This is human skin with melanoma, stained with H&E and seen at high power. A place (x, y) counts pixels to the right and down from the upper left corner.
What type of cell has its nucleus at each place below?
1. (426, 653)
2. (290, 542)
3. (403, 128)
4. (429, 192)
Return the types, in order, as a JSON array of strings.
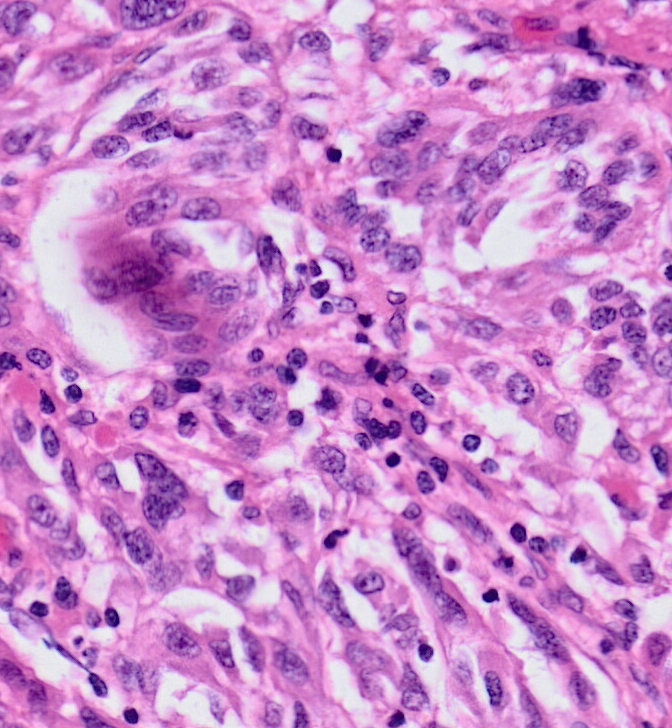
["lymphocyte", "melanoma cell", "melanoma cell", "melanoma cell"]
